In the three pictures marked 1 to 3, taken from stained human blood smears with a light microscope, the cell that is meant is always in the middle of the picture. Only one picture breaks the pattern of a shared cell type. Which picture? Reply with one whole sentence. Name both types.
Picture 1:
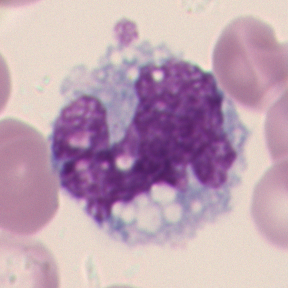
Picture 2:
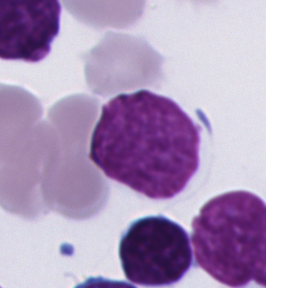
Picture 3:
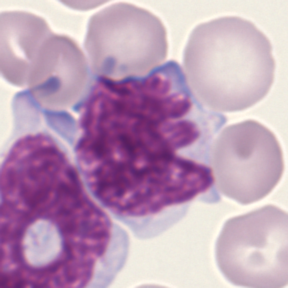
All pictures except 2 show monocytes; picture 2 shows a myeloblast.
